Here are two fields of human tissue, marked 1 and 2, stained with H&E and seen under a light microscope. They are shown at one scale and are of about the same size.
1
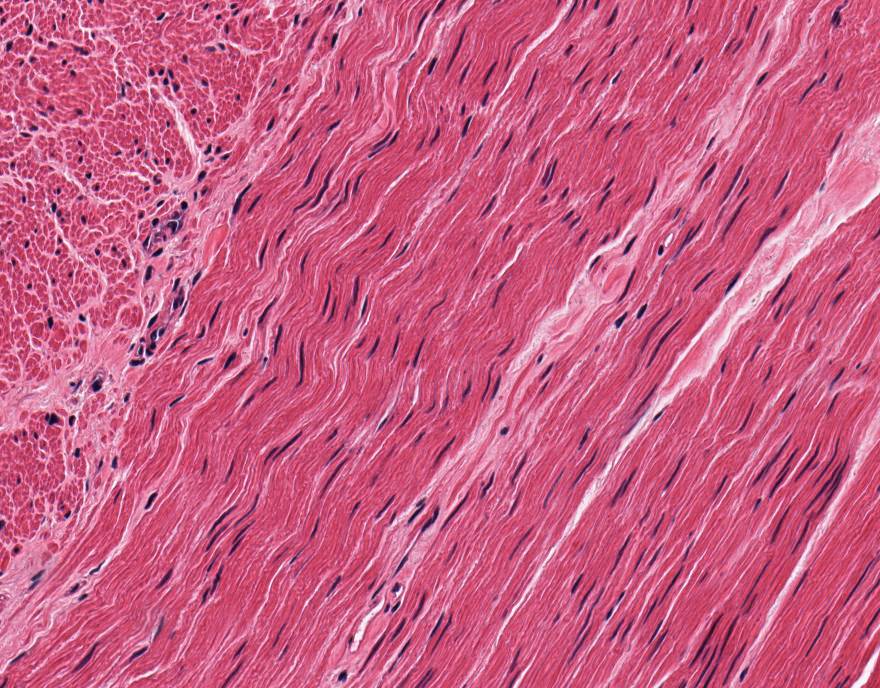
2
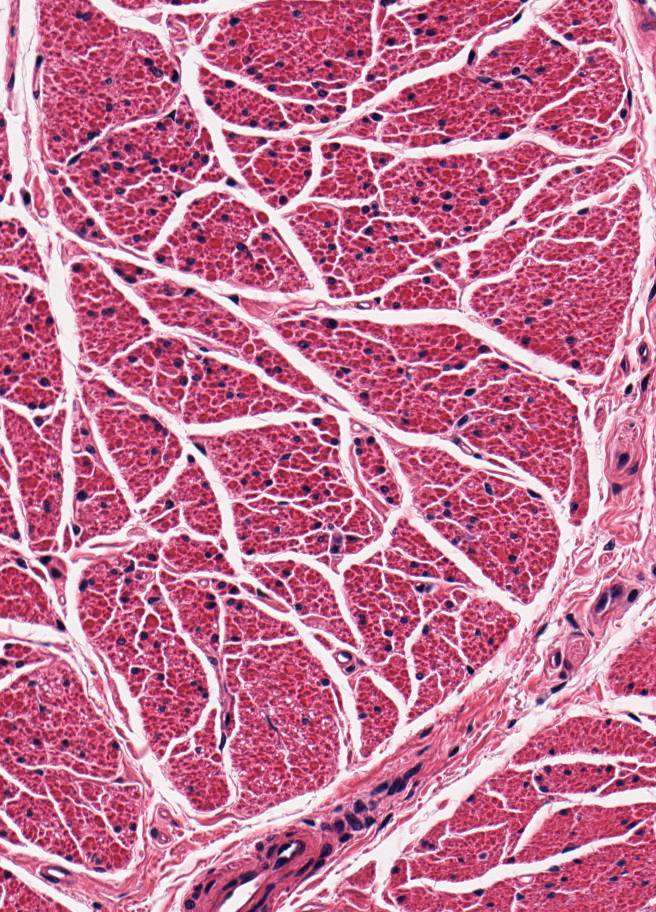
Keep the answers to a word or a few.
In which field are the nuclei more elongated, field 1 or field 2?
1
